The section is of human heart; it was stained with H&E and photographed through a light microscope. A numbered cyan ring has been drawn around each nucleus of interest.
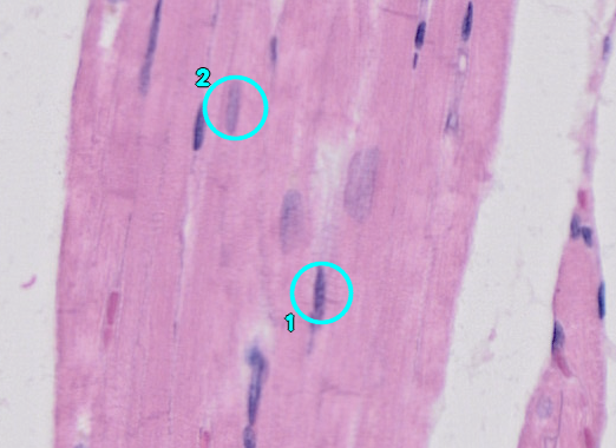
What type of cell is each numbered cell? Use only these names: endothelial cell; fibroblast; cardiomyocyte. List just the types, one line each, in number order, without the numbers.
endothelial cell
cardiomyocyte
